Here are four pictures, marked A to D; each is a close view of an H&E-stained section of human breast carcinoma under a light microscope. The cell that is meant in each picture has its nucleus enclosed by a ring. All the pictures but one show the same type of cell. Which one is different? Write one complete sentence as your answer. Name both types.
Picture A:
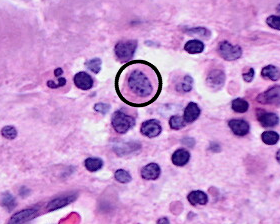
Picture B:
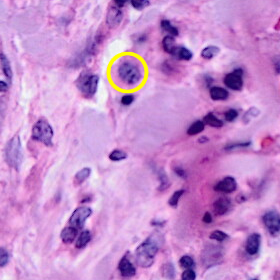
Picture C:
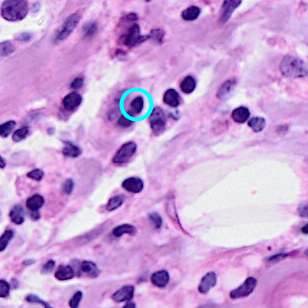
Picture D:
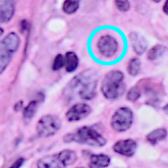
Picture C is the odd one out: it shows a lymphocyte, while the others show mast cells.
